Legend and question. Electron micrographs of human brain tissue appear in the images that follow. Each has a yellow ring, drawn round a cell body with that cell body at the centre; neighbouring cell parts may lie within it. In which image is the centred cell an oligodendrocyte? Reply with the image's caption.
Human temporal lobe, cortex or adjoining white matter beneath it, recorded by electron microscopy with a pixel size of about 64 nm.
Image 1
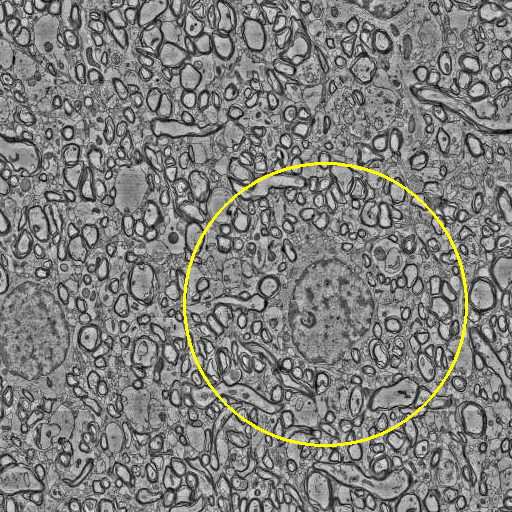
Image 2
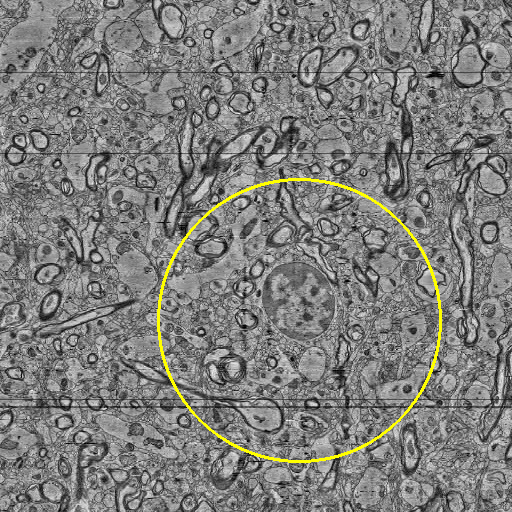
Image 1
